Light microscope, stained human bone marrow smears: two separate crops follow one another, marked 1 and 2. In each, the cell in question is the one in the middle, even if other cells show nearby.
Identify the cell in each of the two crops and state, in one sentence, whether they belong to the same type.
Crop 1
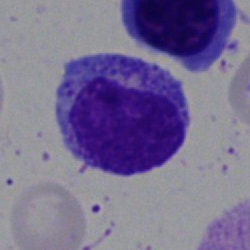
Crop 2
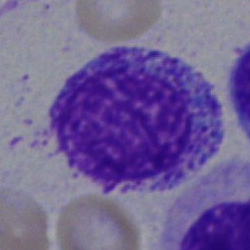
Yes, in both crops the centred cells are myelocytes.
